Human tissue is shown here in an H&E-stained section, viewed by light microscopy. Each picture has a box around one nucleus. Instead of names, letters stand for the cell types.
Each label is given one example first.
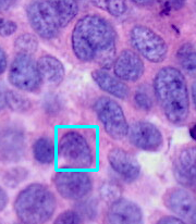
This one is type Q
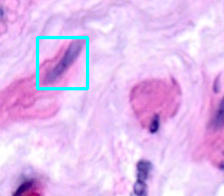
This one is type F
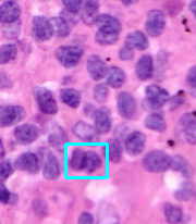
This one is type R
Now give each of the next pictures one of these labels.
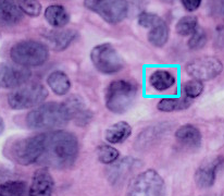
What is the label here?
type R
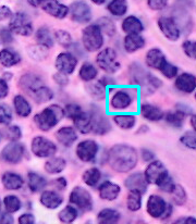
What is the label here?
type R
